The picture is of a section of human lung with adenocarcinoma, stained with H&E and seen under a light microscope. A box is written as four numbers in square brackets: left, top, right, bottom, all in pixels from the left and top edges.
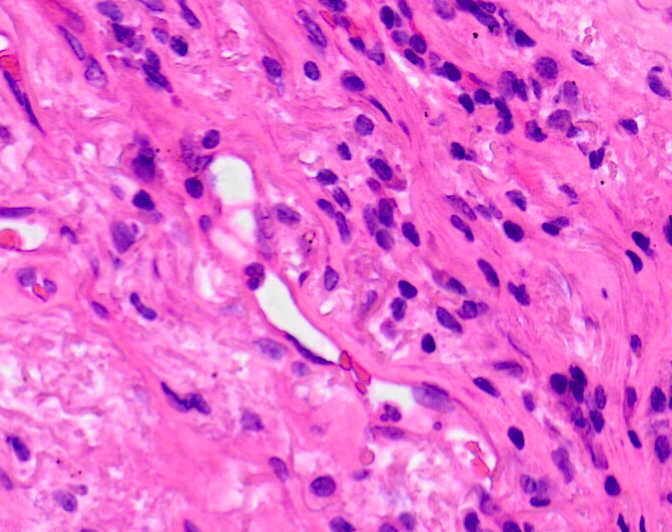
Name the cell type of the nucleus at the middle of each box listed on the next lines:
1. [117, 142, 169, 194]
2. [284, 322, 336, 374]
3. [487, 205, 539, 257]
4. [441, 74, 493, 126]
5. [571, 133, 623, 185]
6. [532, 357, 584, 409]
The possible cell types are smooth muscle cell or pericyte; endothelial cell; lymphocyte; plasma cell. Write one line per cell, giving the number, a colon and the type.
1: plasma cell
2: endothelial cell
3: lymphocyte
4: lymphocyte
5: lymphocyte
6: plasma cell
